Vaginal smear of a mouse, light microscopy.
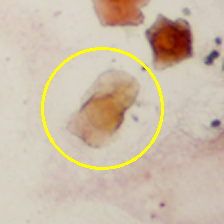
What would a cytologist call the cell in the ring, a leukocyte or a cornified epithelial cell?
A cytologist would call it a cornified epithelial cell.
